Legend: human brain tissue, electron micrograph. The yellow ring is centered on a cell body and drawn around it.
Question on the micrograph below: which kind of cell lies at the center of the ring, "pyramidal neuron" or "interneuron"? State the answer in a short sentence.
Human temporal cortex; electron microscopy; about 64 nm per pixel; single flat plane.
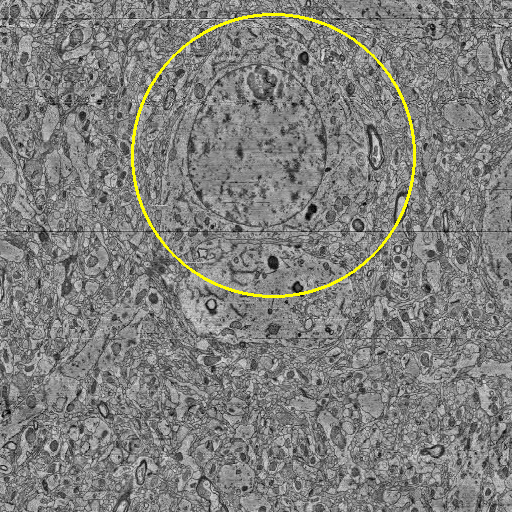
At the center of the ring lies a pyramidal neuron.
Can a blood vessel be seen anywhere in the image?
No, no vessel appears in the picture.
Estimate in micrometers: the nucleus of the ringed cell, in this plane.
Approximately 11 micrometres long and 9 micrometres wide, in this plane.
